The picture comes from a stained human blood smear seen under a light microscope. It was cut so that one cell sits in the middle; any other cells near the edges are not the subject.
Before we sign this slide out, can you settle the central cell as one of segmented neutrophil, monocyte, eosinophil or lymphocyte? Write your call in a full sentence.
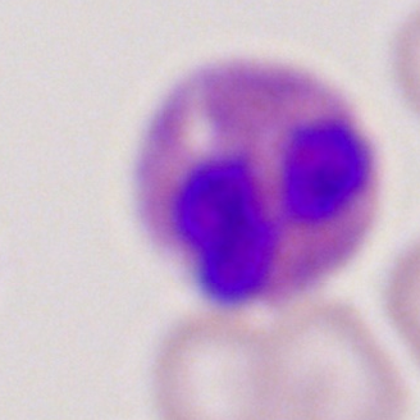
The cell positioned in the middle of the field is an eosinophil.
